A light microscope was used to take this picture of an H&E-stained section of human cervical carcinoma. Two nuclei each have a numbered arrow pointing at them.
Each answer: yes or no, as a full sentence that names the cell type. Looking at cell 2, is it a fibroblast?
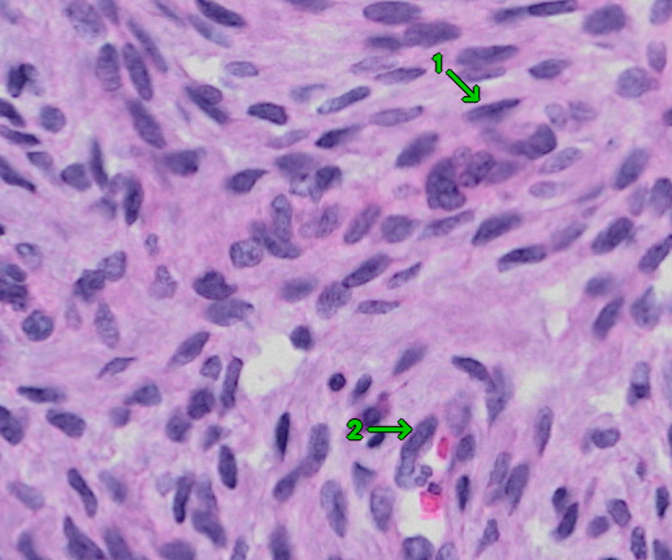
No, for cell 2, the correct identification is an endothelial cell instead of a fibroblast.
